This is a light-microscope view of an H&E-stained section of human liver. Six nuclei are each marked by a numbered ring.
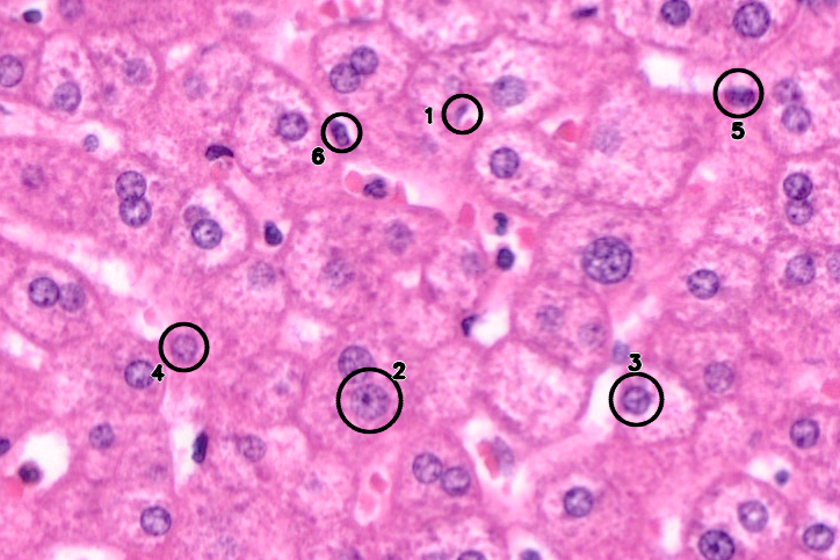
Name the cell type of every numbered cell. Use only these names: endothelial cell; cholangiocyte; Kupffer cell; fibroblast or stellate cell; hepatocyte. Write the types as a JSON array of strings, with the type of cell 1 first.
["endothelial cell", "hepatocyte", "hepatocyte", "hepatocyte", "endothelial cell", "Kupffer cell"]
